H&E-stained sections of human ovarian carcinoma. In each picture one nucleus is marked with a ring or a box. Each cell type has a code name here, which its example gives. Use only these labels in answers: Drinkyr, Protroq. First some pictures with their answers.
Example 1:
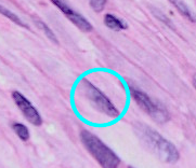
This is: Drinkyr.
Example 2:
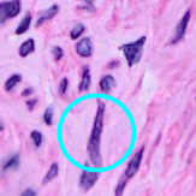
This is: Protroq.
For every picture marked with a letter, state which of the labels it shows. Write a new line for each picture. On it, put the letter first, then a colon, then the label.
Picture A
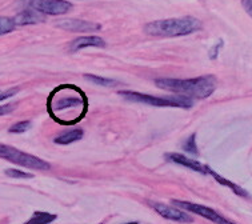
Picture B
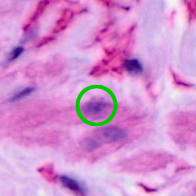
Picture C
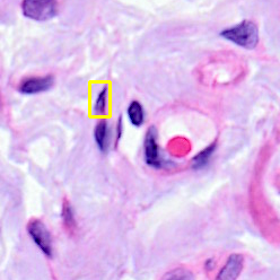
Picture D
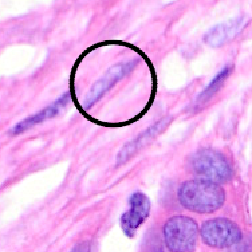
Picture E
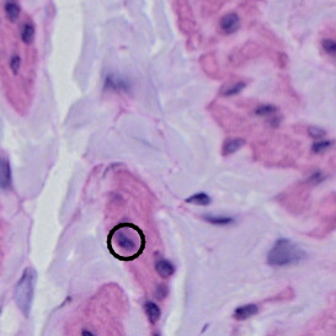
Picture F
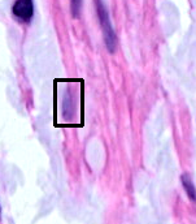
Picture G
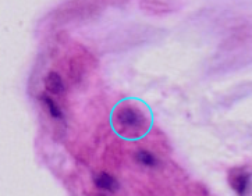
A: Protroq.
B: Protroq.
C: Drinkyr.
D: Drinkyr.
E: Protroq.
F: Protroq.
G: Protroq.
